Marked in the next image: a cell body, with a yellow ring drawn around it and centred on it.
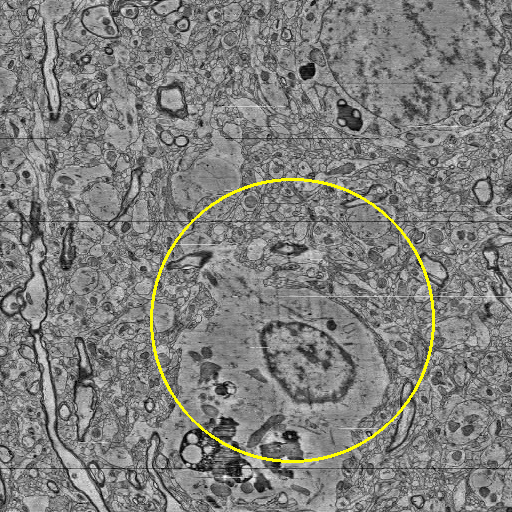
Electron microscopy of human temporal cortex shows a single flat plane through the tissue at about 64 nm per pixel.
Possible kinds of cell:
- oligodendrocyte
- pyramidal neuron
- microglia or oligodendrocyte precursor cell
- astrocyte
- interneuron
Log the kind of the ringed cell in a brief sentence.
The ringed cell body is that of an astrocyte.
